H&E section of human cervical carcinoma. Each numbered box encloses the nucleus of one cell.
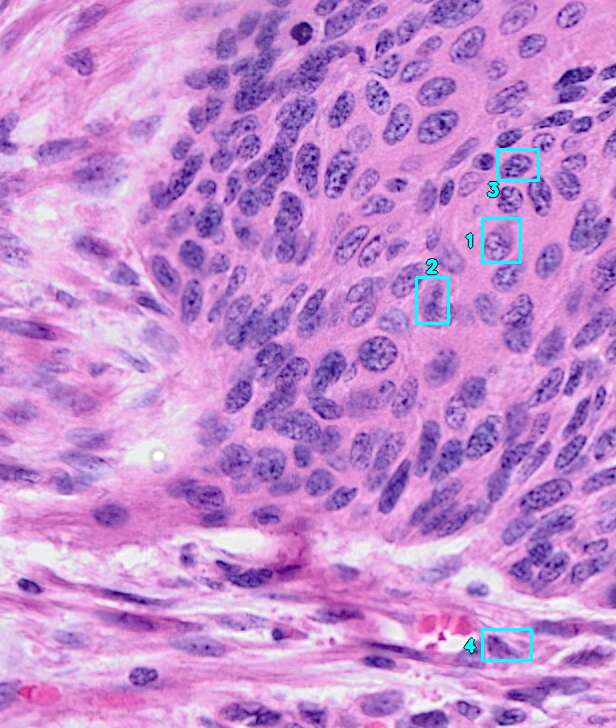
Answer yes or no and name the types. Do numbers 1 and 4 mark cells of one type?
No, cell 1 is recognized as a squamous carcinoma cell, and cell 4 as a fibroblast.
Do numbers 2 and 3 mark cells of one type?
Yes, cells 2 and 3 are, both of them, squamous carcinoma cells.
